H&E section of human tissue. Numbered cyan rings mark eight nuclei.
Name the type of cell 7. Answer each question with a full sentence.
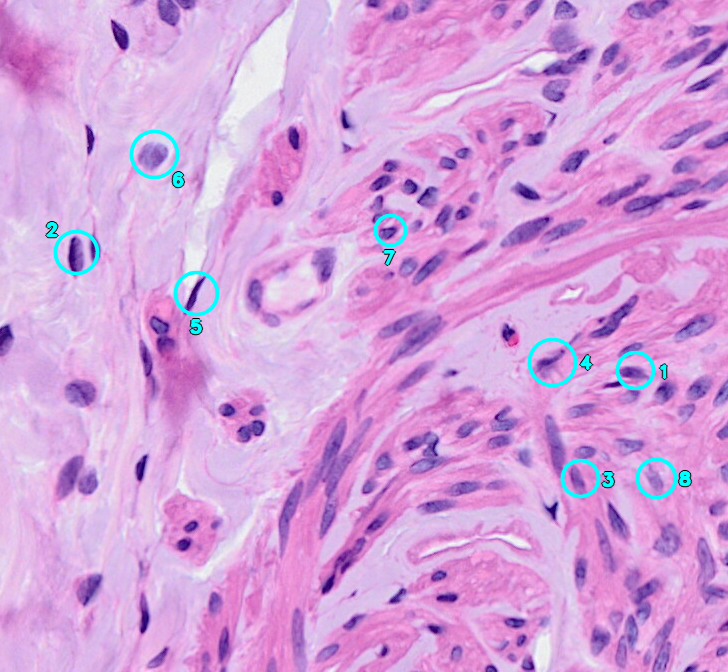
Looking at the numbered marks, cell 7 is a smooth muscle cell.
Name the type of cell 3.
The cell that bears the number 3 is a smooth muscle cell.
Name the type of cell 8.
The expected answer is that cell 8 is a smooth muscle cell.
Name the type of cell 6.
The cell to which the number 6 is assigned is a fibroblast.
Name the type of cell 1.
The nucleus marked 1 is the nucleus of a smooth muscle cell.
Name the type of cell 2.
Corresponding to a fibroblast is the cell labelled 2.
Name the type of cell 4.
Recognised here as a smooth muscle cell is the cell numbered 4.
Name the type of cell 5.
The cell to which the number 5 is assigned is a fibroblast.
